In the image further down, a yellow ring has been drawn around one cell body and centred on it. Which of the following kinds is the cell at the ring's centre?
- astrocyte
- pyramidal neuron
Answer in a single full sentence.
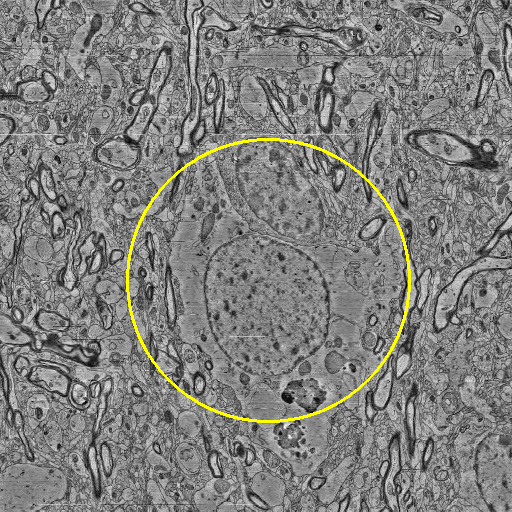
In the picture, the cell sitting at the centre of the yellow ring is an astrocyte.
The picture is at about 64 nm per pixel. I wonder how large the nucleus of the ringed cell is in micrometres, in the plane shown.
About 9 micrometres by about 8 micrometres in this plane.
